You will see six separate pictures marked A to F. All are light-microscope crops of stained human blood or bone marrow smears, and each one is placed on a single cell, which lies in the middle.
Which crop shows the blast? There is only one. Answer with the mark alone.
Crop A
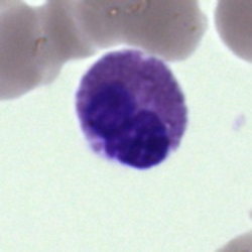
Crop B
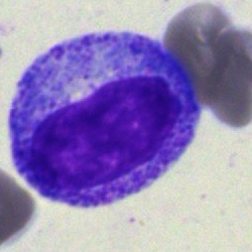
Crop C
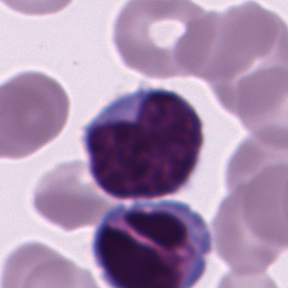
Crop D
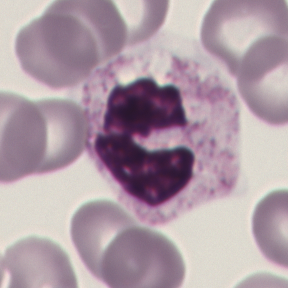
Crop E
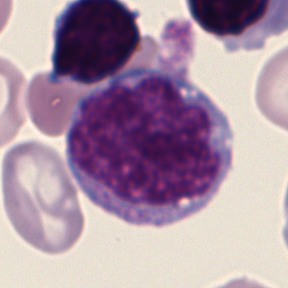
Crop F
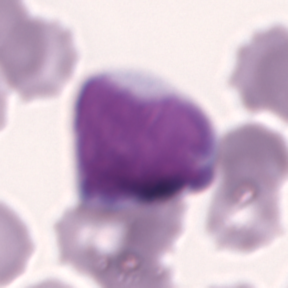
F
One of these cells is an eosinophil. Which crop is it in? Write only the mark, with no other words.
A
